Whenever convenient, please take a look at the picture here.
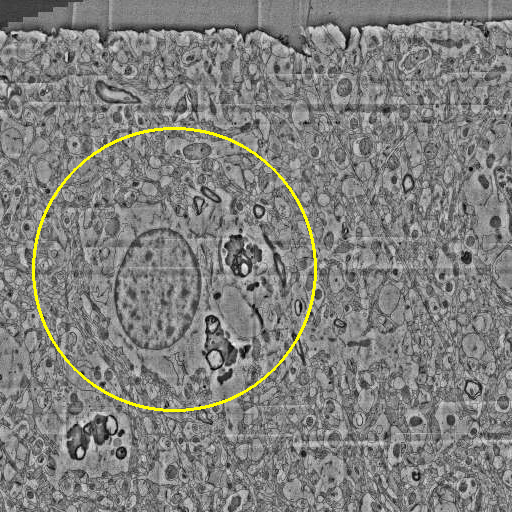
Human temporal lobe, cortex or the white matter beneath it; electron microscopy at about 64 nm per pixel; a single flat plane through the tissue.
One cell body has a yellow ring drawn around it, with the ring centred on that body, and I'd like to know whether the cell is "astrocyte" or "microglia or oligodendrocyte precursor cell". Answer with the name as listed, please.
astrocyte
